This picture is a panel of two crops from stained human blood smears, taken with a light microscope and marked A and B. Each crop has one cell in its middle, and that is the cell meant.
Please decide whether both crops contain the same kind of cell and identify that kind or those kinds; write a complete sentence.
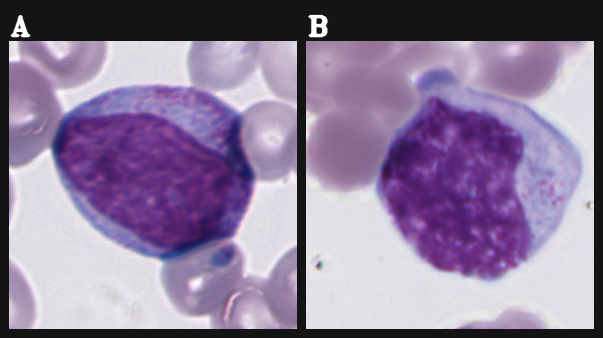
Yes, in short, both crops show promyelocytes.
